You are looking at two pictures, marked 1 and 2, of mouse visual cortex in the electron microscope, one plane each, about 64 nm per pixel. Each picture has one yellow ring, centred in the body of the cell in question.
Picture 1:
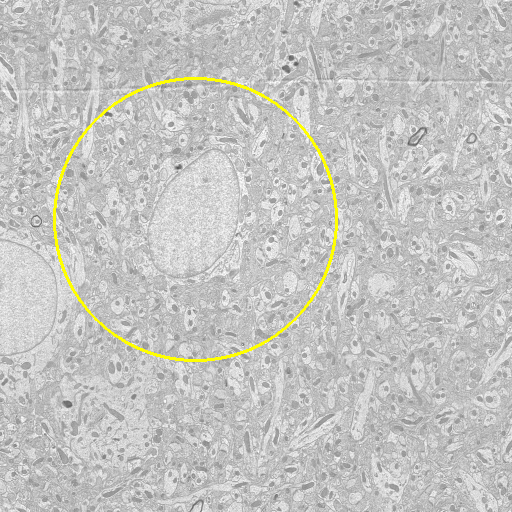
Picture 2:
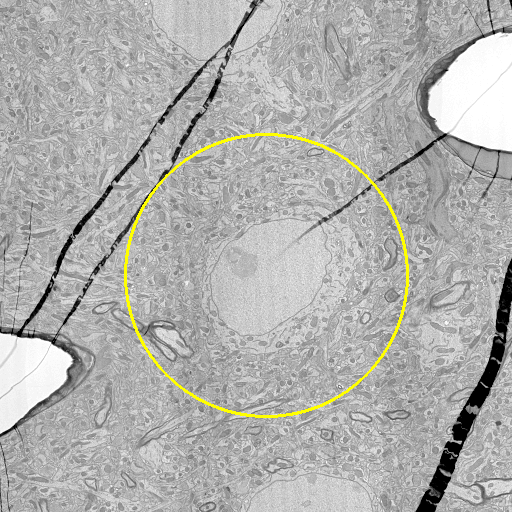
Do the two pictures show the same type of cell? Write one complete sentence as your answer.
No. Picture 1 shows an astrocyte, but picture 2 shows an excitatory neuron.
